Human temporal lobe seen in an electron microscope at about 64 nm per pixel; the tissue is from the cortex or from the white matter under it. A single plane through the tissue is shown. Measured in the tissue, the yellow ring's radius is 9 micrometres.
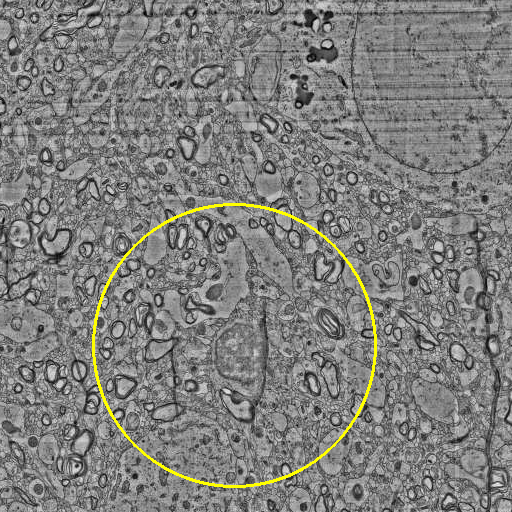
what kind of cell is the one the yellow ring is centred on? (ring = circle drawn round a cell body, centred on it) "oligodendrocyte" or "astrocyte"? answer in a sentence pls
The ring is drawn around an oligodendrocyte.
